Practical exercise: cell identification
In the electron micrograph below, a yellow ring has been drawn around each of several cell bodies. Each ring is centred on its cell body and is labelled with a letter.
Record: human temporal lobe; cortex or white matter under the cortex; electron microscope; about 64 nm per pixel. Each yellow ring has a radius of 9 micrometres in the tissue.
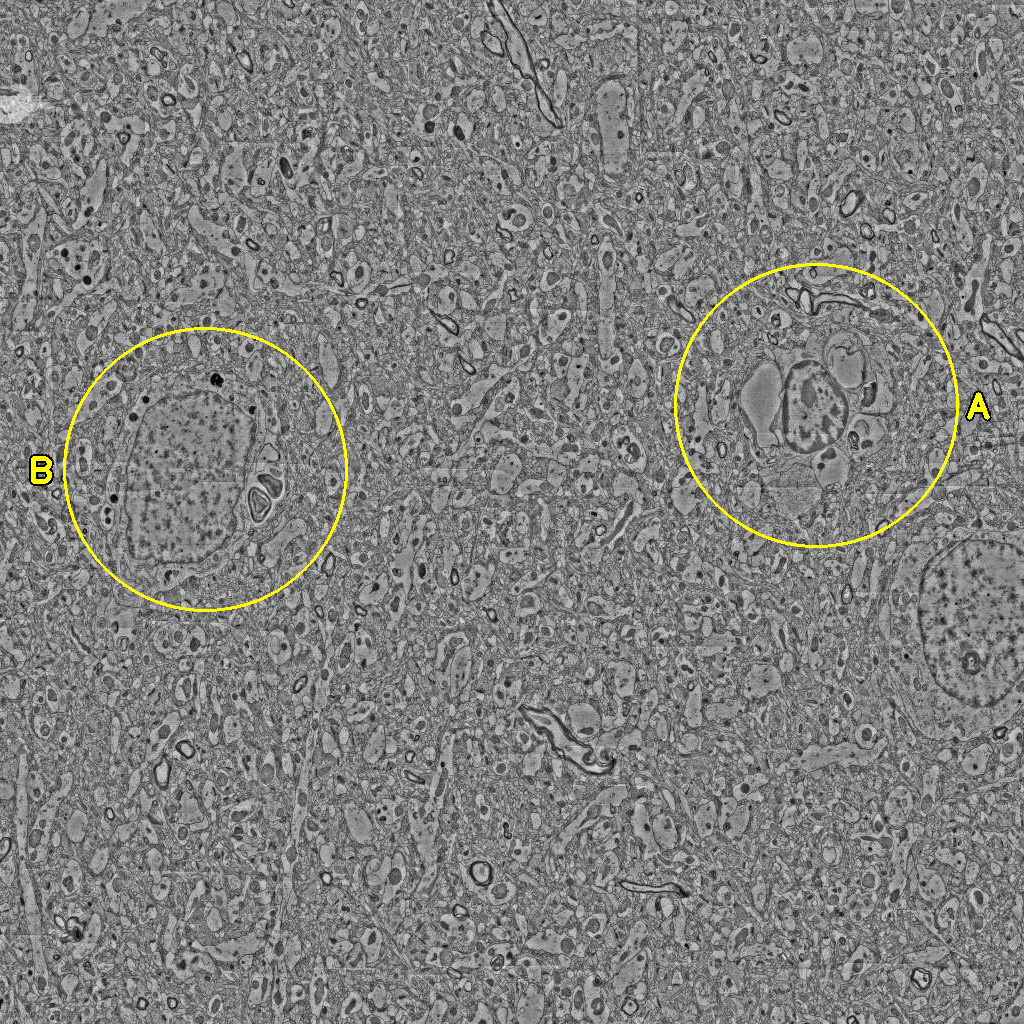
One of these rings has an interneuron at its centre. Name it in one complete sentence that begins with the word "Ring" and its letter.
Ring B has that cell at its centre.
